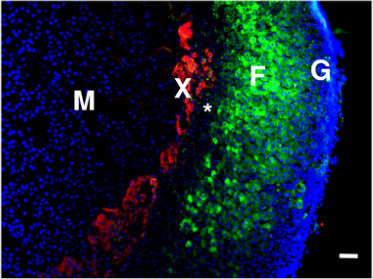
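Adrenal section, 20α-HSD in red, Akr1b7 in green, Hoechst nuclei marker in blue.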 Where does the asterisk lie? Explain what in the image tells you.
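Unlabelled zone. The band at the asterisk shows blue nuclei but little red or green.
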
